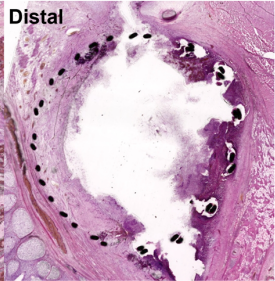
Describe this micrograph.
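A cross-section of a tubular organ stained in shades of purple, with black oval profiles of stent wires arranged around a roughly circular wall. A wide white open lumen occupies much of the centre; the lining tissue inside the wire ring forms a relatively thin layer, with a darker purple, irregular band along the right side of the lumen. Outside the ring lies lighter fibrous wall tissue. Compared with heavy ingrowth, the tissue grown in around the wires here is limited, so the lumen stays largely open despite some tissue hyperplasia.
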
